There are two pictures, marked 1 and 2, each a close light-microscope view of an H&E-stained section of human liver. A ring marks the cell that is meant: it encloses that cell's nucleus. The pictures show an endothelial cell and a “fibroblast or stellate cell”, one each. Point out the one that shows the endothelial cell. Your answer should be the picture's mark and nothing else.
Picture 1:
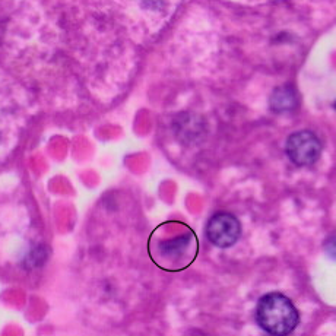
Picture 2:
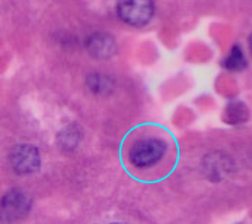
1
